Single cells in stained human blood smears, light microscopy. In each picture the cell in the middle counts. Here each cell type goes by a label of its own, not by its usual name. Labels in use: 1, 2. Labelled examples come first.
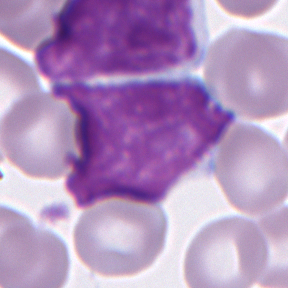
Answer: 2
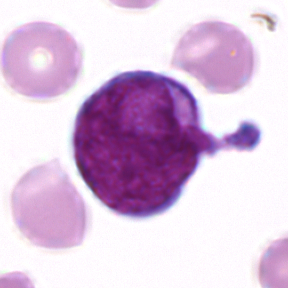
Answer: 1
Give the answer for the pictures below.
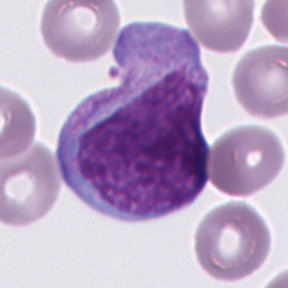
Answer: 1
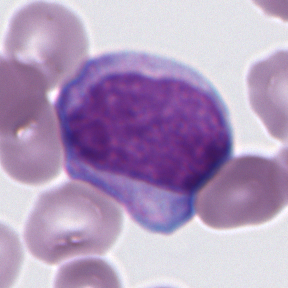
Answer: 1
